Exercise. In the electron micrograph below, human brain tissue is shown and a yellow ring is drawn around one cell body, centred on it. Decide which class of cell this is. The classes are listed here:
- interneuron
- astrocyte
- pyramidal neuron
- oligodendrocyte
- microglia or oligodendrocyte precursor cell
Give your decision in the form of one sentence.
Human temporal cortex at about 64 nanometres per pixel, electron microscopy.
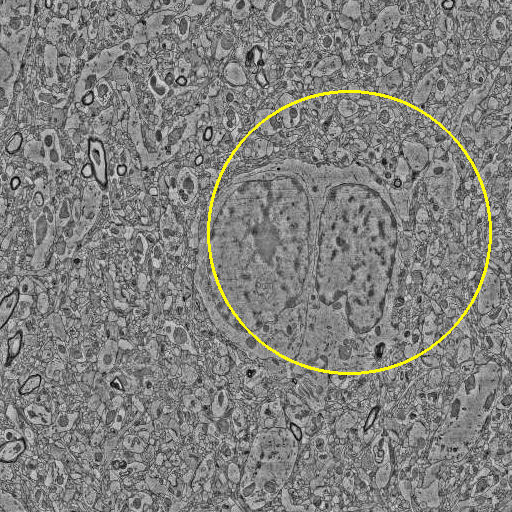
The cell body marked by the ring belongs to a microglial cell or oligodendrocyte precursor cell.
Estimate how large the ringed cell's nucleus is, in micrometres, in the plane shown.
The ringed cell's nucleus is about 9 micrometres long and 6 micrometres wide in this plane.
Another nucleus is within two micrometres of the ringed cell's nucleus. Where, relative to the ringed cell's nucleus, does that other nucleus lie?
That nucleus lies to the left of it.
